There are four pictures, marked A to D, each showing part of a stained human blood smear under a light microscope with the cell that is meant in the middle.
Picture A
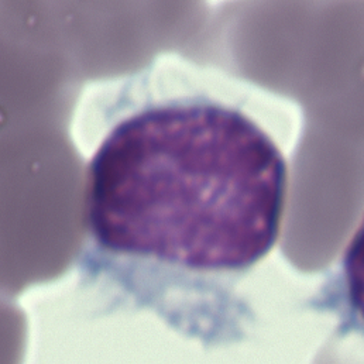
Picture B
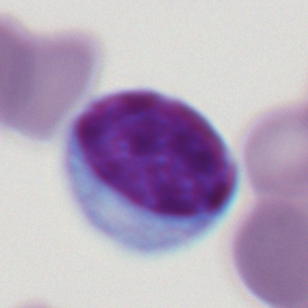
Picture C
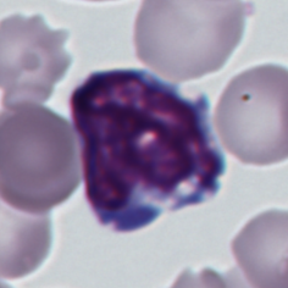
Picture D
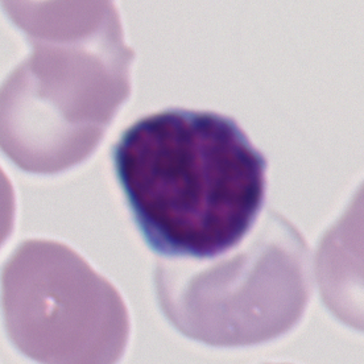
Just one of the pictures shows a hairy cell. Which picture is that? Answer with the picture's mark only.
A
